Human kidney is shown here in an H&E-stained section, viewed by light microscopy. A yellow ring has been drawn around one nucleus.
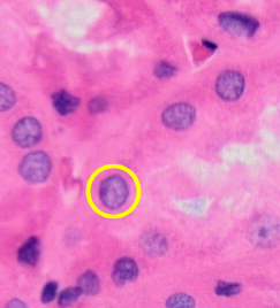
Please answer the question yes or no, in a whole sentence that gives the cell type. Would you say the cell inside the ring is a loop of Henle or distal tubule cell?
No, the cell inside the ring is best named a proximal tubule cell, not a loop of Henle or distal tubule cell.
